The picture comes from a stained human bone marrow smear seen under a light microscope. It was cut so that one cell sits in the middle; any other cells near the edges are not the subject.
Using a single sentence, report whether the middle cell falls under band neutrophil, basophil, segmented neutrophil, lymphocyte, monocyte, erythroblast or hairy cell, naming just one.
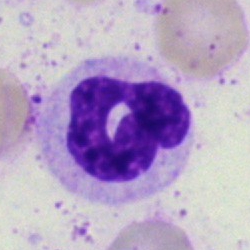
Positioned in the middle of the crop is a segmented neutrophil.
